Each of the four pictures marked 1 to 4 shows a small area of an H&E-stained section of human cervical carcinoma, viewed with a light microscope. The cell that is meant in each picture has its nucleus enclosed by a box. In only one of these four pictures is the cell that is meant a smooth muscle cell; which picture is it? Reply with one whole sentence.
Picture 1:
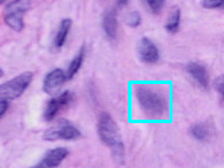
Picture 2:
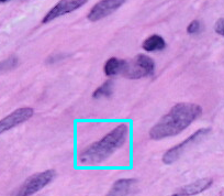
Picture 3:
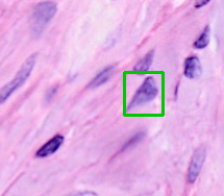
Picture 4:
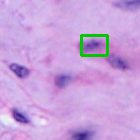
Picture 4 shows the smooth muscle cell.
